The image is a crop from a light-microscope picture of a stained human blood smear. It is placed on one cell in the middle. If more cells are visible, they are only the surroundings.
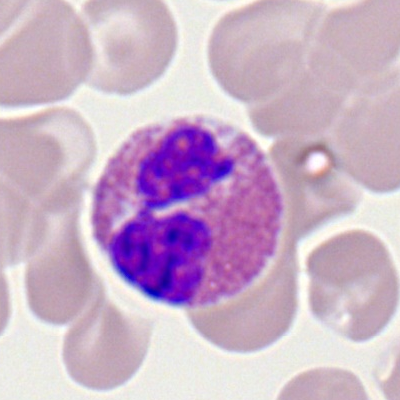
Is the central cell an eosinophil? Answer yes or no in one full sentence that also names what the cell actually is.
Yes, an eosinophil is present in the middle of the crop.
